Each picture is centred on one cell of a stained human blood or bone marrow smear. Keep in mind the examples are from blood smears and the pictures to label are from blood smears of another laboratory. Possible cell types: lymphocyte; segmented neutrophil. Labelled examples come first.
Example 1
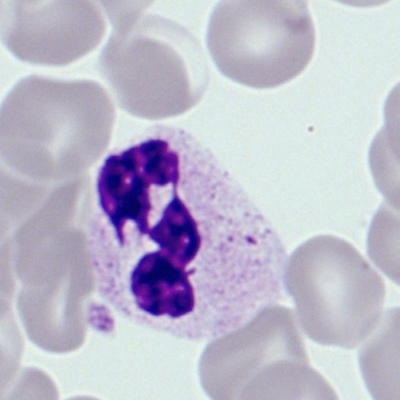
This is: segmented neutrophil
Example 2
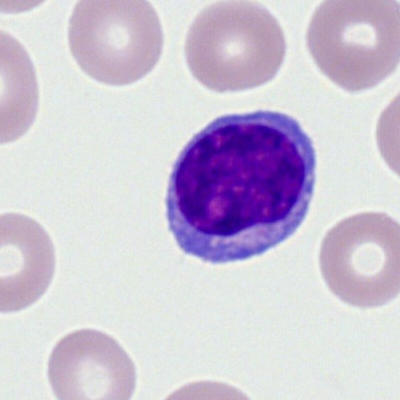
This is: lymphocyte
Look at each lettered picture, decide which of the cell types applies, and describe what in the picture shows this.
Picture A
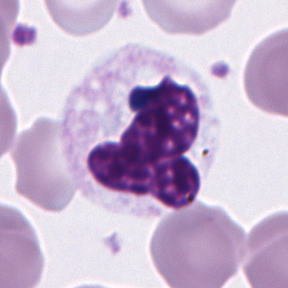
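segmented neutrophil. Evidence: The nucleus is irregular and folded into lobes that are joined by broad bands, not thin threads.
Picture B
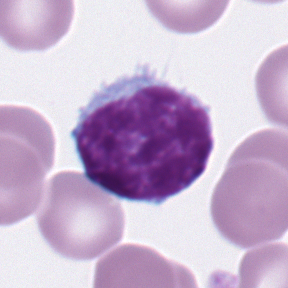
lymphocyte. Evidence: The cytoplasm is scant and shows mainly as a thin crescent along the upper side of the nucleus.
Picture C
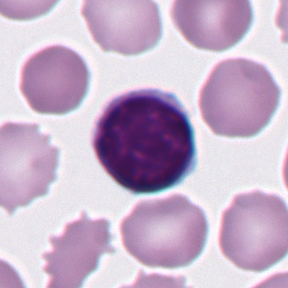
lymphocyte. Evidence: Only a very thin rim of cytoplasm shows around the nucleus.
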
